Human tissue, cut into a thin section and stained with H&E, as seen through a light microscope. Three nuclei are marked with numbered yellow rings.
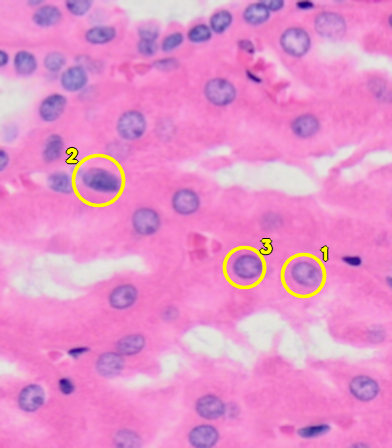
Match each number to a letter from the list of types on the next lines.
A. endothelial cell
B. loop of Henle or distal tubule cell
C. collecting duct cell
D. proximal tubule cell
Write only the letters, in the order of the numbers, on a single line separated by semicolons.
D; A; D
